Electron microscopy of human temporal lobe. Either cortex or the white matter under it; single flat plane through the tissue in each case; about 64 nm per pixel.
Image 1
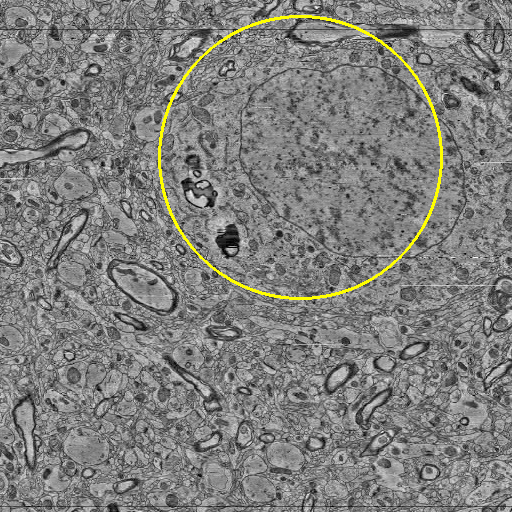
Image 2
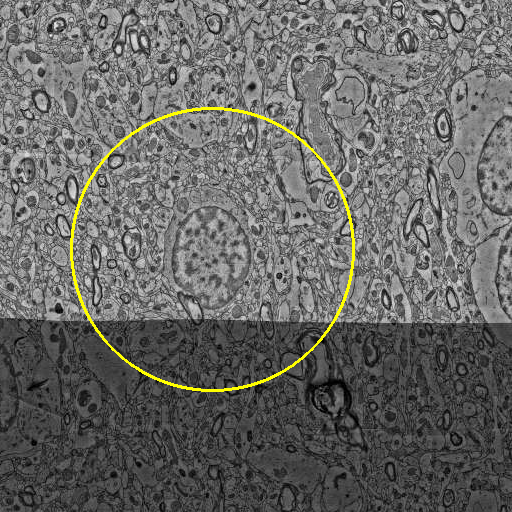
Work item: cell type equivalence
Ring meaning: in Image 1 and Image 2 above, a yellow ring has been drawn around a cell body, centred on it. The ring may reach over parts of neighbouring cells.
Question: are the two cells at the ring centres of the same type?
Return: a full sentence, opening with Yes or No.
No, the two centred cells are of two types.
